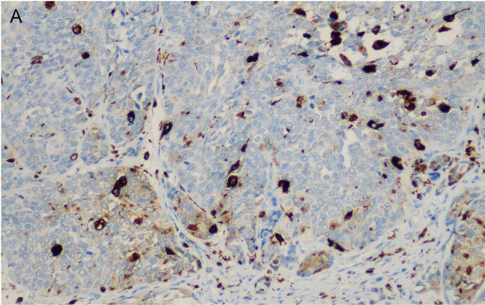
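The tumor forms nests and sheets of crowded epithelial cells with oval, pale blue nuclei, separated by thin fibrous stromal strands. The brown-stained cells are irregular, some rounded and some elongated with short processes, and lie both in the stroma and among the tumor cells. Fainter brown granular staining is also seen in patches within some tumor nests.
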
